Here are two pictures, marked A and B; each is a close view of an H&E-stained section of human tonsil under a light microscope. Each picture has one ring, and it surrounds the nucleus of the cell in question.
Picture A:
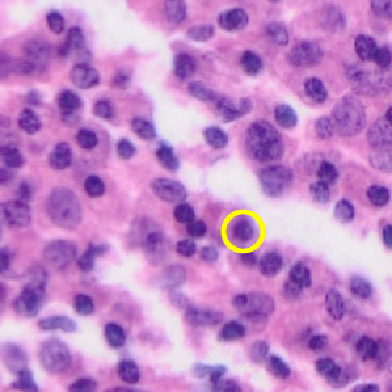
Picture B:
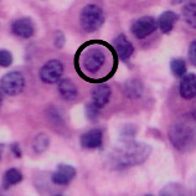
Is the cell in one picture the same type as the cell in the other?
yes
